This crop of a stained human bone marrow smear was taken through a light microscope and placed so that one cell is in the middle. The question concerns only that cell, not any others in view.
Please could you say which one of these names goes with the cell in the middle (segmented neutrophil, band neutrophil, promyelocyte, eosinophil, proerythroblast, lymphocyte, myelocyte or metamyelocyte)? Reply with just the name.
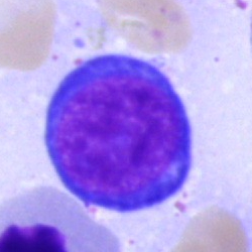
proerythroblast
